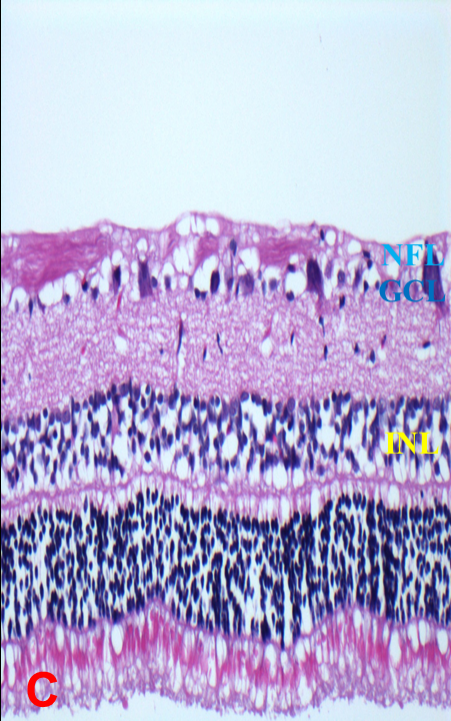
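A retinal section shows layered tissue with a pink inner surface layer, a broad pale granular band, a loosely arranged band of purple nuclei, a thick densely packed band of dark nuclei and pink outer layers at the bottom. The innermost layer contains scattered larger purple-staining cell bodies among many round clear vacuoles. Clear spaces also break up the upper band of nuclei.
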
